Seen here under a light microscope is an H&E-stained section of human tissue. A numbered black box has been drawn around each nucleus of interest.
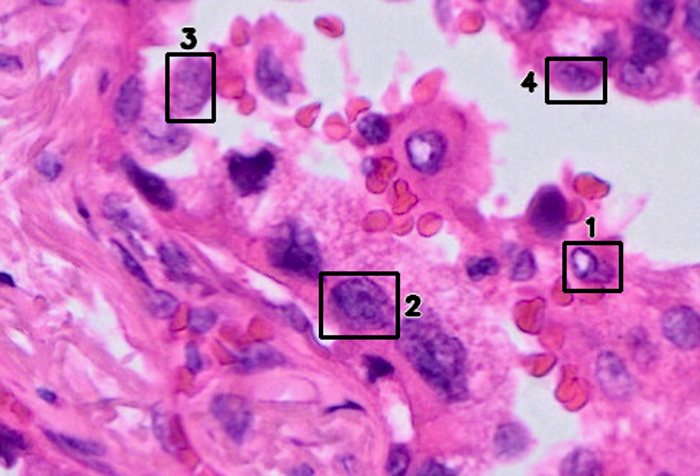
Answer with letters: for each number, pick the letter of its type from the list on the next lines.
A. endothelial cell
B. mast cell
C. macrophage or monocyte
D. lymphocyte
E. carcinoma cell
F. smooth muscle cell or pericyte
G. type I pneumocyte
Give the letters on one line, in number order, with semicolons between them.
C; E; E; E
